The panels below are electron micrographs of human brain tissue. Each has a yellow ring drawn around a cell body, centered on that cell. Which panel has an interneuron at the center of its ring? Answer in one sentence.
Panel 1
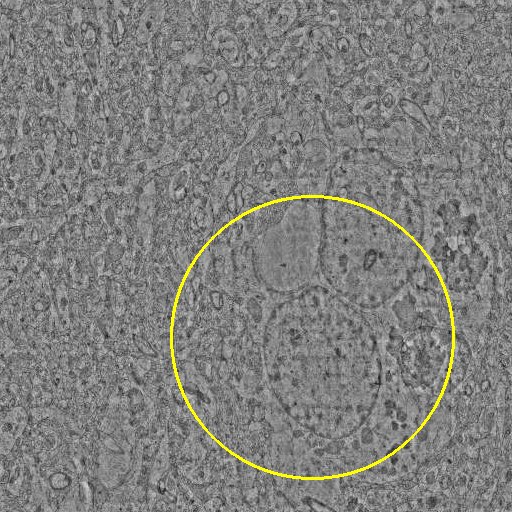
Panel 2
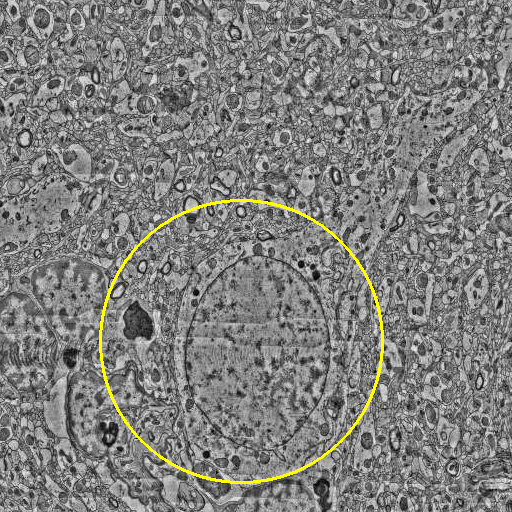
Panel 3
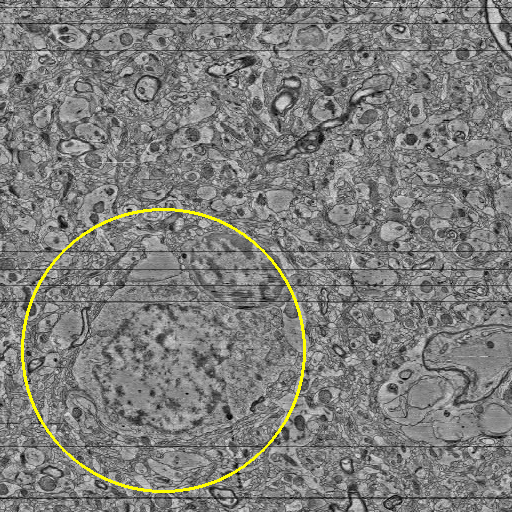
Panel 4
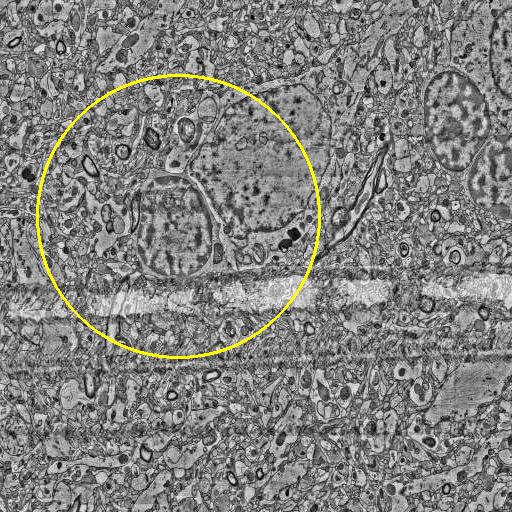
Panel 3 has it at the center of its ring.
